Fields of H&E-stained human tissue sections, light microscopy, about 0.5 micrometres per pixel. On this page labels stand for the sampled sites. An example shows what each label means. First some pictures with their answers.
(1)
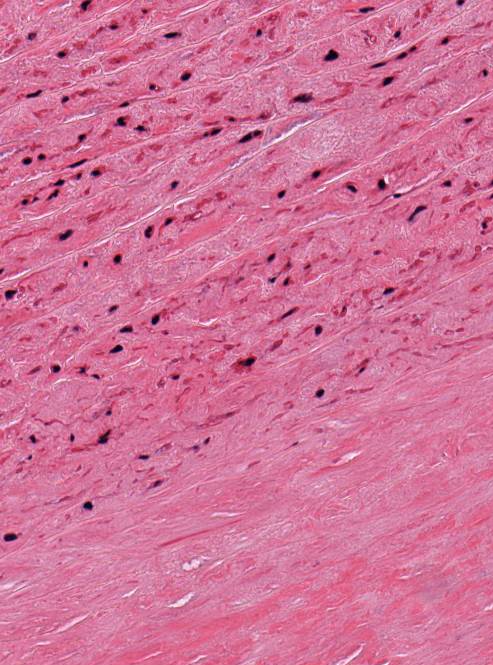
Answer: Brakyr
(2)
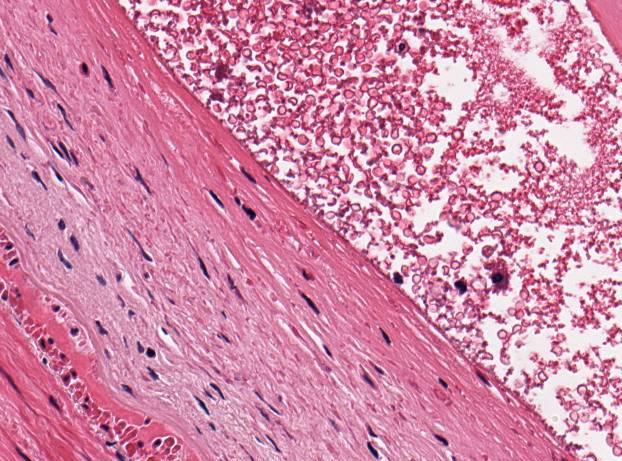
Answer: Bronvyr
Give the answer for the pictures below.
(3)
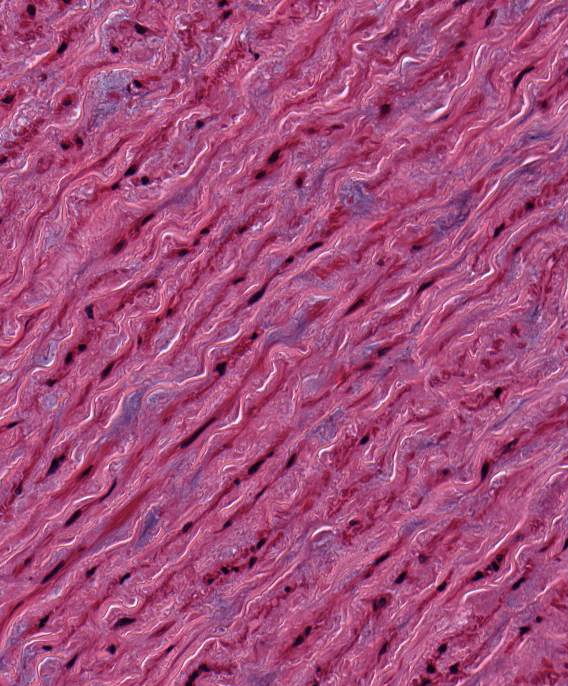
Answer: Brakyr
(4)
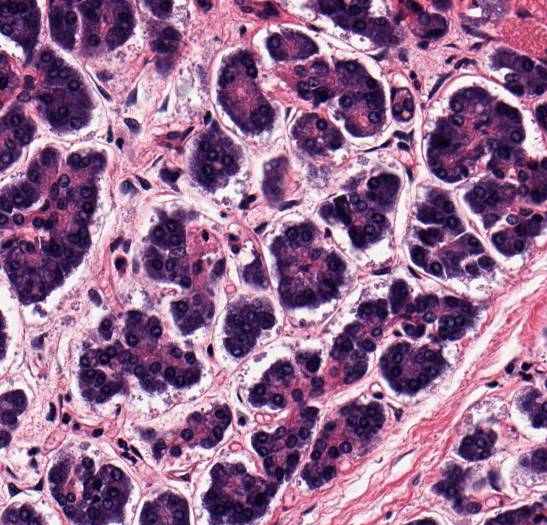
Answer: Bronvyr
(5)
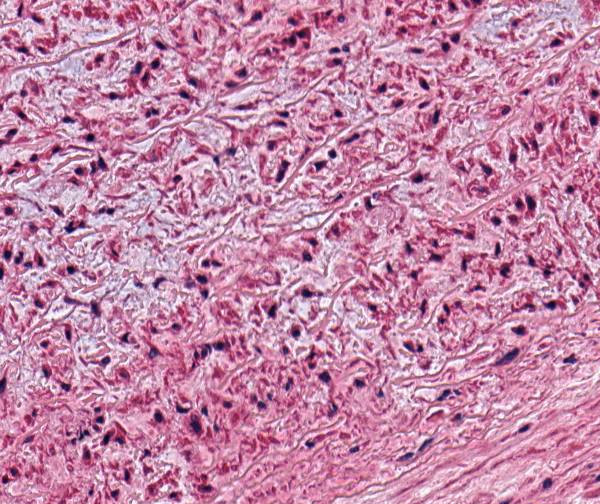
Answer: Brakyr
